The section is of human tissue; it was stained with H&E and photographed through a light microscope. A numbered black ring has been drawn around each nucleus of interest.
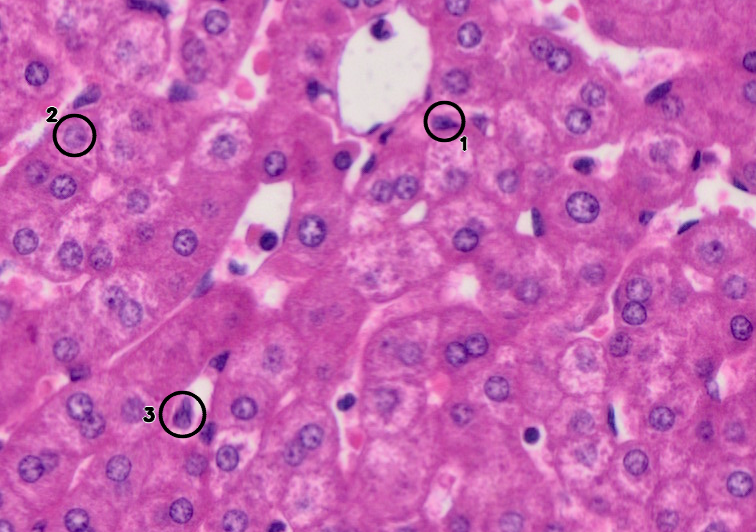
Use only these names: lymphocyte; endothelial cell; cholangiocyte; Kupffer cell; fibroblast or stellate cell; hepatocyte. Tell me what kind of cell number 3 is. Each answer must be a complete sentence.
The cell that carries the label 3 is a Kupffer cell.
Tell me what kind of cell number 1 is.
The cell marked with the number 1 is a fibroblast or stellate cell.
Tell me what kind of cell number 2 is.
Number 2 is placed on a hepatocyte here.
